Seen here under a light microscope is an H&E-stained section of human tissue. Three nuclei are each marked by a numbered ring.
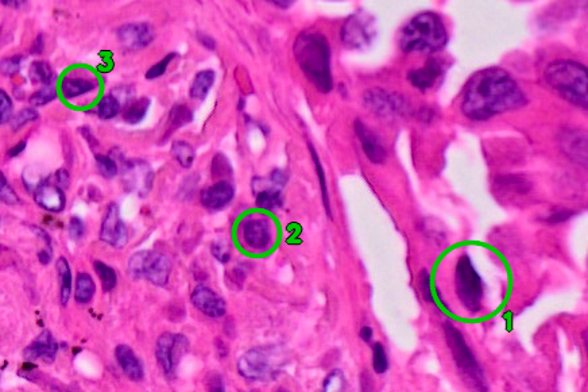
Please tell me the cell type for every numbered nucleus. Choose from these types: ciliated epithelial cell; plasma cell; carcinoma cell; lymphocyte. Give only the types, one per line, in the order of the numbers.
carcinoma cell
plasma cell
plasma cell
